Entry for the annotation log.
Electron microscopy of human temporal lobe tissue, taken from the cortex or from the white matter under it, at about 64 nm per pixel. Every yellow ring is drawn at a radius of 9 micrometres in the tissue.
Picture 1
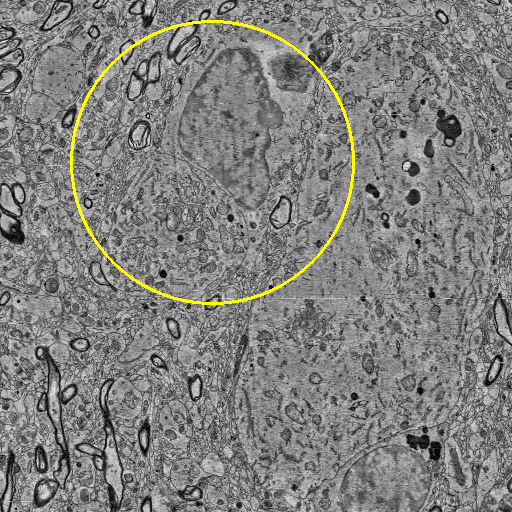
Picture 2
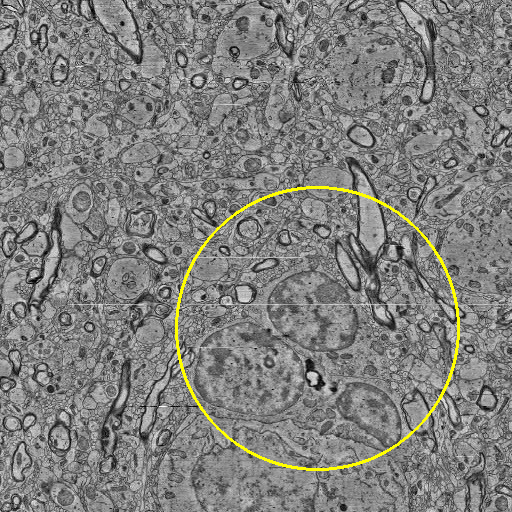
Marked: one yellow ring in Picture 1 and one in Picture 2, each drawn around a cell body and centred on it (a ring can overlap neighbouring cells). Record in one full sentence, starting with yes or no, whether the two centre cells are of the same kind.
No, the two cells are of two kinds.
